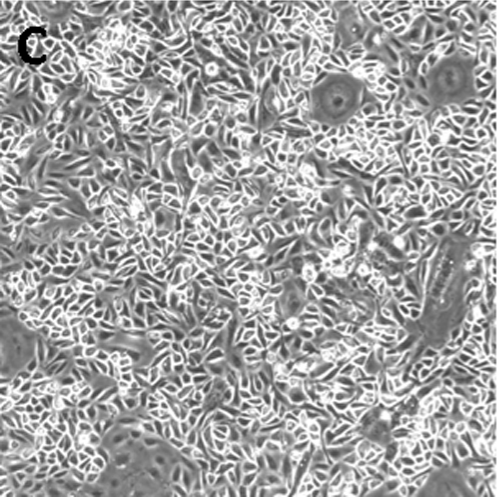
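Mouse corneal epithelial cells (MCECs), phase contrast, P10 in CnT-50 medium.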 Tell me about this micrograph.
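Scattered among them are much larger, flat cells with a broad grey cytoplasm and a central nucleus, standing out from the small cells around them. Some spindle-shaped cells and a few small round bright cells are also seen.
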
